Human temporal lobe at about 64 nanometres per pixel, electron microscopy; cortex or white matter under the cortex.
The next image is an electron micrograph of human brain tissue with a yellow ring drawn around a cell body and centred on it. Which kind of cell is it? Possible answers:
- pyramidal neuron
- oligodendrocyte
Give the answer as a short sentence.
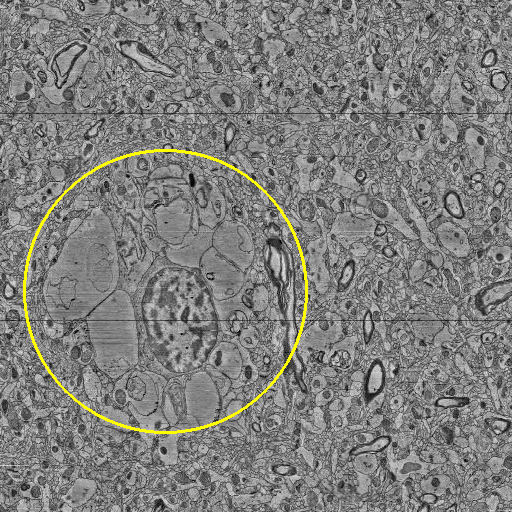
In the ring's centre is an oligodendrocyte.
